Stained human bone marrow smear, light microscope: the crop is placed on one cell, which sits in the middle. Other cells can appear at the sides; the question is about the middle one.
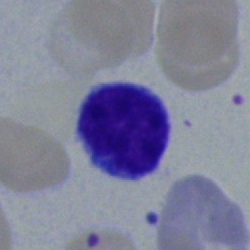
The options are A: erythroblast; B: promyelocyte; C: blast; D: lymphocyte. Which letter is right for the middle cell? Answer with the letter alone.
D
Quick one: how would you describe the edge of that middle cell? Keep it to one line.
No projections interrupt the outline; it is smooth all the way round.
